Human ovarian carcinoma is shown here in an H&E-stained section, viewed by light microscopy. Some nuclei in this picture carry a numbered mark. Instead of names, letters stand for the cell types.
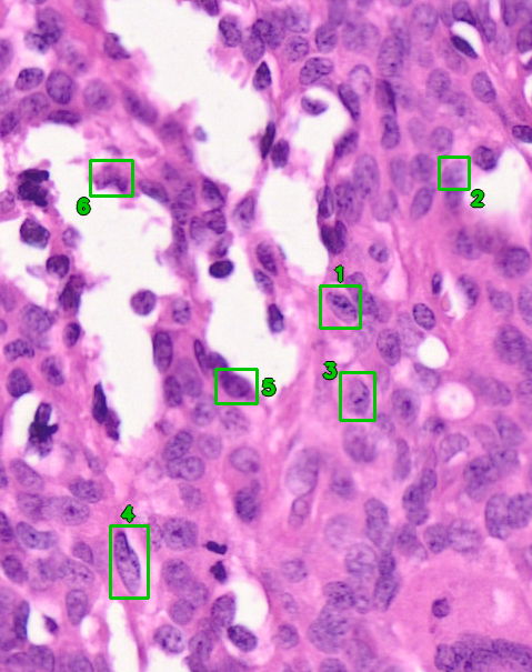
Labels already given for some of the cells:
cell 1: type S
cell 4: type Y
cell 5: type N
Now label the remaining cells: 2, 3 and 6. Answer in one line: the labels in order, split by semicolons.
type N; type S; type S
